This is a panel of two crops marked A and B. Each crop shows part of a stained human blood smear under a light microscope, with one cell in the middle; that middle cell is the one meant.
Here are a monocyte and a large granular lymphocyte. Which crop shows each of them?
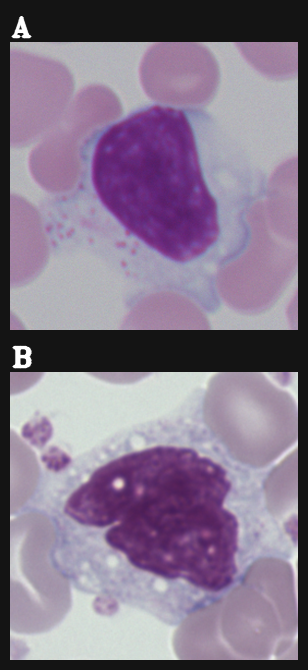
A: large granular lymphocyte
B: monocyte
